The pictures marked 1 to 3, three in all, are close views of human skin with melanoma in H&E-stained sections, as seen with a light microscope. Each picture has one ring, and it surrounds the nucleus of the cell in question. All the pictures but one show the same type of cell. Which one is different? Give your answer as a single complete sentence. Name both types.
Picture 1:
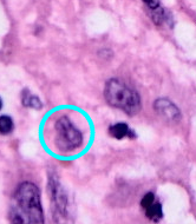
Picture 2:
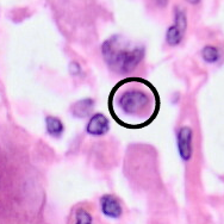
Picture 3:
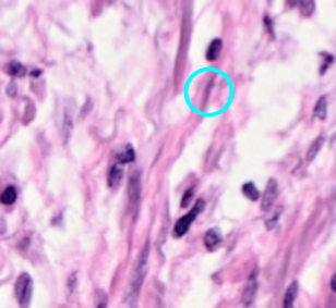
Picture 3 is the odd one out: it shows a “fibroblast or myofibroblast”, while the others show “macrophages or monocytes”.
